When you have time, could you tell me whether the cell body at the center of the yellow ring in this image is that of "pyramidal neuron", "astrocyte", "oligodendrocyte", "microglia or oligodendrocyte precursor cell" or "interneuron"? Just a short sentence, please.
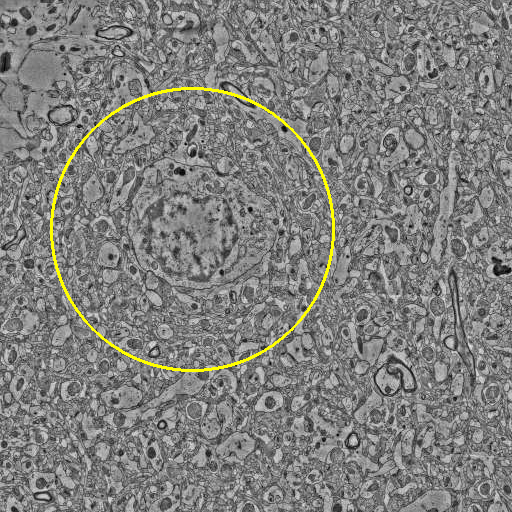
The cell body at the center of the ring is that of an interneuron.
